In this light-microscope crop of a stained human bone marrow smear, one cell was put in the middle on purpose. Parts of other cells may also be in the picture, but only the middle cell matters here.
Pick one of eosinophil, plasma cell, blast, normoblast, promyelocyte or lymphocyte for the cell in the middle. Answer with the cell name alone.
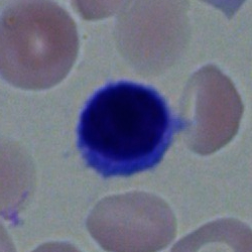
normoblast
